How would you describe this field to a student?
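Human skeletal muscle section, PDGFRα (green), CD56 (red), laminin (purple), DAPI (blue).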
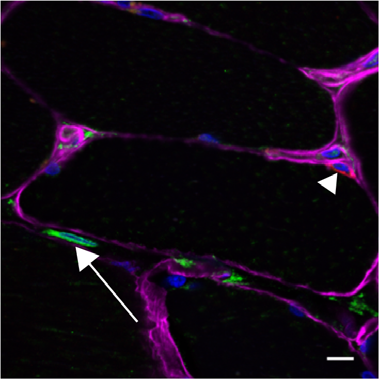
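Blue nuclei lie along the fiber borders and in the spaces between fibers. Elongated green cells lie in the interstitial spaces between the purple outlines, while a small red-rimmed cell with a blue nucleus sits tucked against a fiber inside its purple outline.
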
